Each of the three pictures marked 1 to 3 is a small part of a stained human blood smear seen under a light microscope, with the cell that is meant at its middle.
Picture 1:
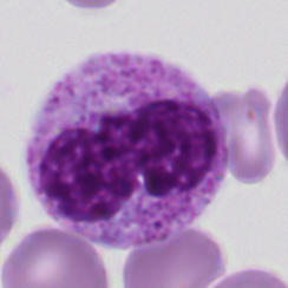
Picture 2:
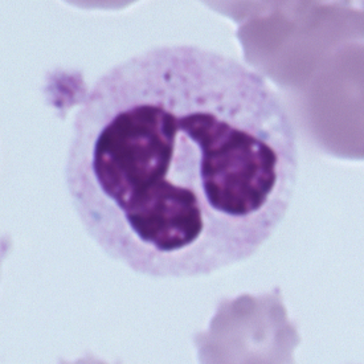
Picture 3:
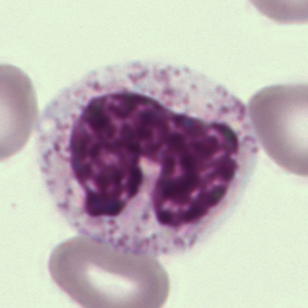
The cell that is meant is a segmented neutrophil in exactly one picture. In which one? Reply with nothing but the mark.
2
